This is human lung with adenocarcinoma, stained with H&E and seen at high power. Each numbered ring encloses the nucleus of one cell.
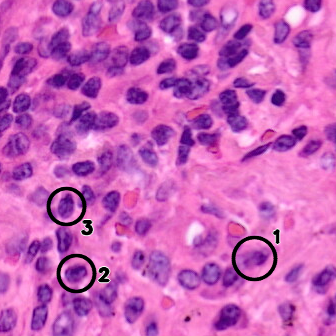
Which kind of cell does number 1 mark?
plasma cell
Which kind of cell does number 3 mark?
lymphocyte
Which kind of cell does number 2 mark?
lymphocyte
